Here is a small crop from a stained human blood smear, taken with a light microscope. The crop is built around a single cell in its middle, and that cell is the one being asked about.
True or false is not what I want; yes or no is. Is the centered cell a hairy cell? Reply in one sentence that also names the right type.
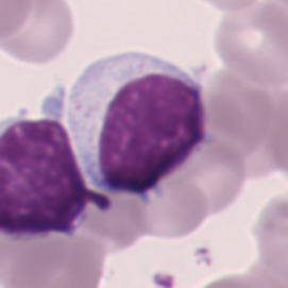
No, the central cell in this crop is a large granular lymphocyte and not a hairy cell.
